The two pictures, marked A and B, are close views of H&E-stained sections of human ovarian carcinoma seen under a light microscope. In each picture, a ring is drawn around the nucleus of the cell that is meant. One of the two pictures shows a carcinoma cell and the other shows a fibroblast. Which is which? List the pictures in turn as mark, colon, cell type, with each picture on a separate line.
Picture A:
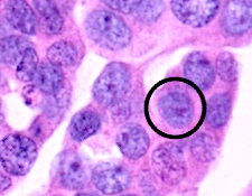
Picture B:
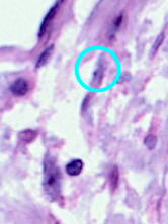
A: carcinoma cell
B: fibroblast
